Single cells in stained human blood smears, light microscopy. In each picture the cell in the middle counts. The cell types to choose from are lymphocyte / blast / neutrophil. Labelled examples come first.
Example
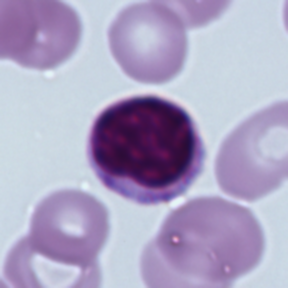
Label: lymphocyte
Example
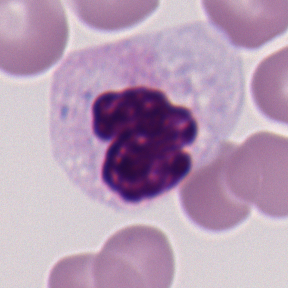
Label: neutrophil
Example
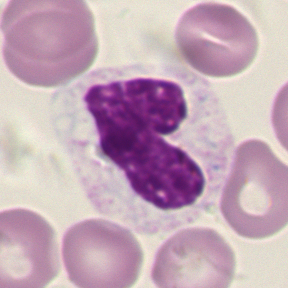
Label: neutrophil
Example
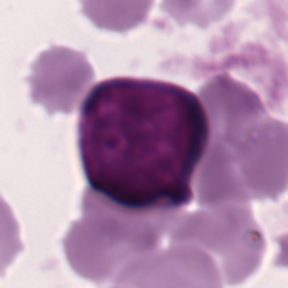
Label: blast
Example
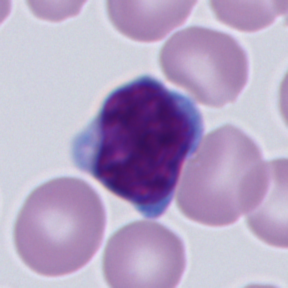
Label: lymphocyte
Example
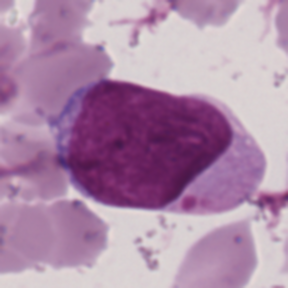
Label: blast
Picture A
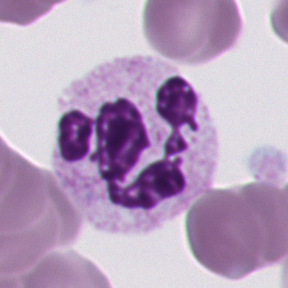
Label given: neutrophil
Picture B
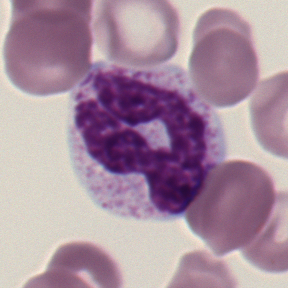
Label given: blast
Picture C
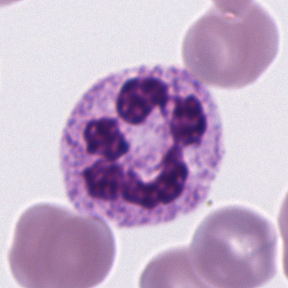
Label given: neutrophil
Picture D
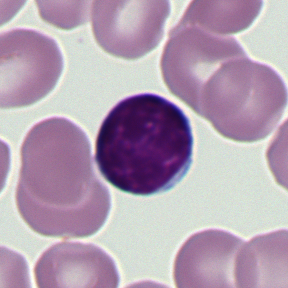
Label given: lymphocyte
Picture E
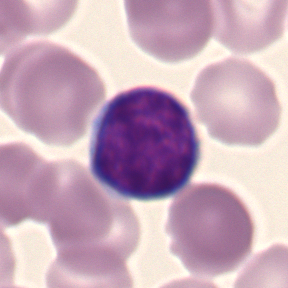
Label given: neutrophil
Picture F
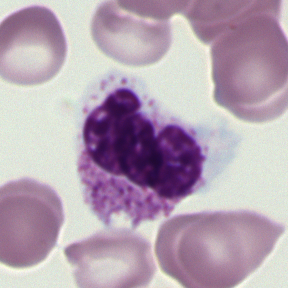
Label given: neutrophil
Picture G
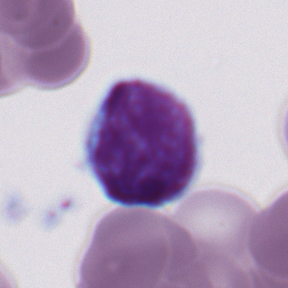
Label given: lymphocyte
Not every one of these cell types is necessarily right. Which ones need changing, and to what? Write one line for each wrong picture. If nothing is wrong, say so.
B: neutrophil, not blast
E: lymphocyte, not neutrophil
